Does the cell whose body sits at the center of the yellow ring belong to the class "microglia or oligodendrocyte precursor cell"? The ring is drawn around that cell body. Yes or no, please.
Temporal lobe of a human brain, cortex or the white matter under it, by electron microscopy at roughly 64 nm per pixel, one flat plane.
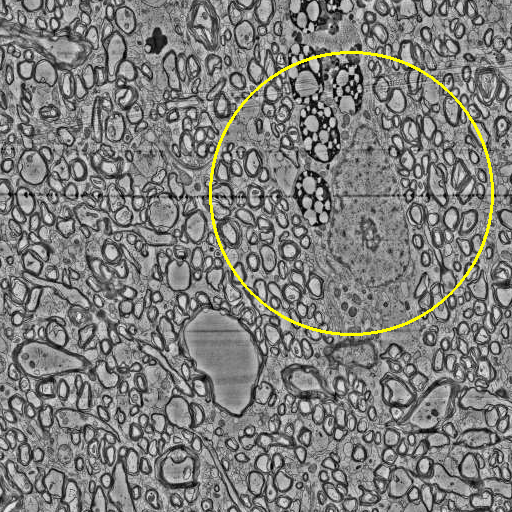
No, it belongs to another class.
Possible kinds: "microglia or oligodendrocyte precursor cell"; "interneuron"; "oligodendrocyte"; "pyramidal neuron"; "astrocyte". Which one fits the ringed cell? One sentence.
That cell in the ring is an astrocyte instead.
